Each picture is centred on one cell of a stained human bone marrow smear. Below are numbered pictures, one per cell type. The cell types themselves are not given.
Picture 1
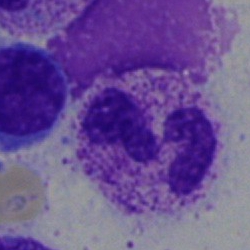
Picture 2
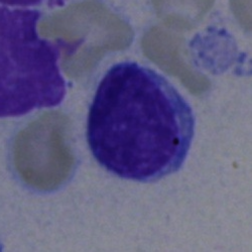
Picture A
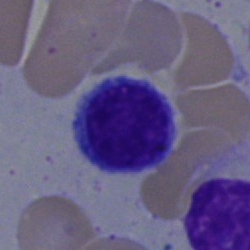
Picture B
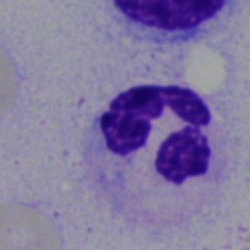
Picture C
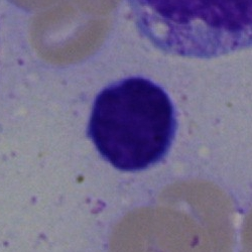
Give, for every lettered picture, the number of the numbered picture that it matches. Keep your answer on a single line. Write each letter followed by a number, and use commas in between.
A 2, B 1, C 2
